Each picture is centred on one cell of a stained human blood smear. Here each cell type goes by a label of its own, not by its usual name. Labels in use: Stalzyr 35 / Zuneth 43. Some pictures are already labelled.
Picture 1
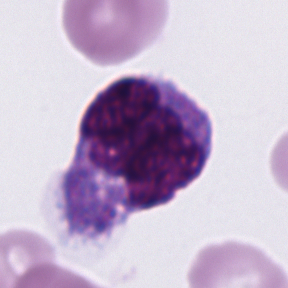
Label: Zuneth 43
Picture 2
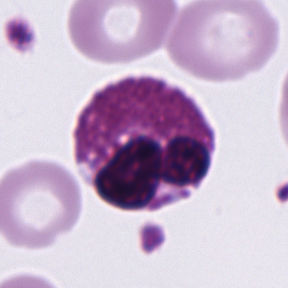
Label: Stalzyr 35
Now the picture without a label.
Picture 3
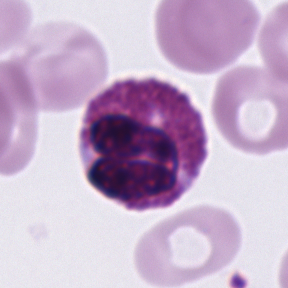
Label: Stalzyr 35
